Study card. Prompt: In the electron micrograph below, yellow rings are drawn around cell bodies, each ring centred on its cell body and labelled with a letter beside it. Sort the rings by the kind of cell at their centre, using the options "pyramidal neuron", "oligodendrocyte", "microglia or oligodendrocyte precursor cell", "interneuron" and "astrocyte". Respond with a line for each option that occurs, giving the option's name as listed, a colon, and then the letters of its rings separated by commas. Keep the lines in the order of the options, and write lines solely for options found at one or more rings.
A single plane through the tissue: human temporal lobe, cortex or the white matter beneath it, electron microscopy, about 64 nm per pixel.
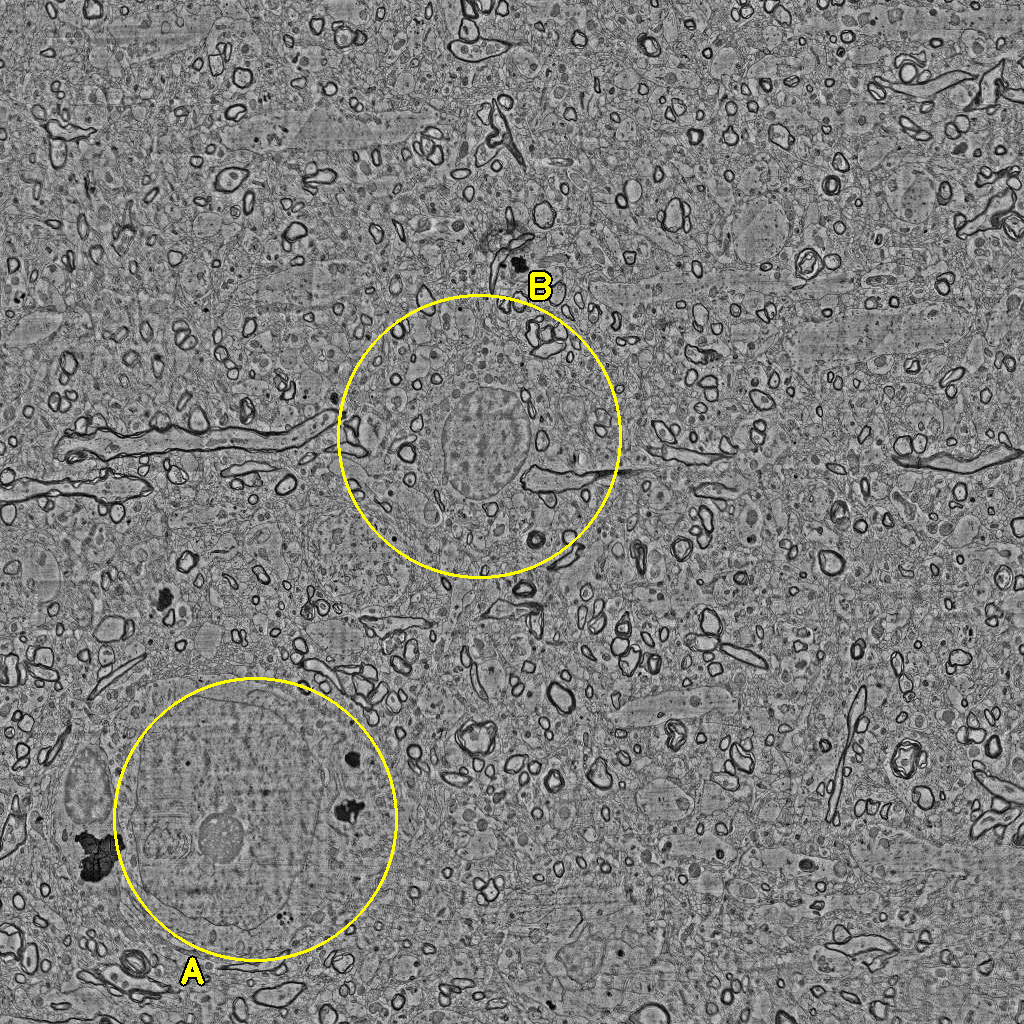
pyramidal neuron: A
oligodendrocyte: B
